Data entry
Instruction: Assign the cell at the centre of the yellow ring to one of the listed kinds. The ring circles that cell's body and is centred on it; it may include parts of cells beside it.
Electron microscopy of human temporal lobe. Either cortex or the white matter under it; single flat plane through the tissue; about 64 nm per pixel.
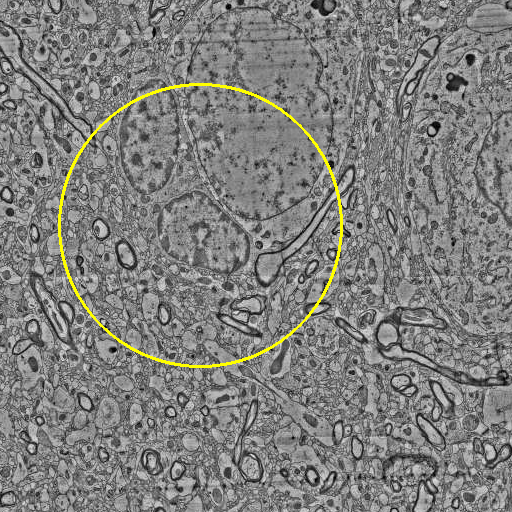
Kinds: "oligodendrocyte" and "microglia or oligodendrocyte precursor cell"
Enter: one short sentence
The centre of the ring falls on an oligodendrocyte.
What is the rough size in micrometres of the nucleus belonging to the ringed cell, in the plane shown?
The nucleus works out at approximately 6 by 4 micrometres in this plane.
